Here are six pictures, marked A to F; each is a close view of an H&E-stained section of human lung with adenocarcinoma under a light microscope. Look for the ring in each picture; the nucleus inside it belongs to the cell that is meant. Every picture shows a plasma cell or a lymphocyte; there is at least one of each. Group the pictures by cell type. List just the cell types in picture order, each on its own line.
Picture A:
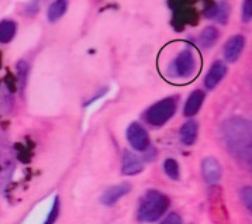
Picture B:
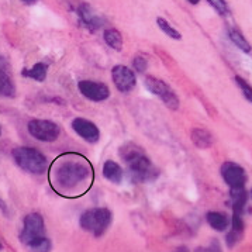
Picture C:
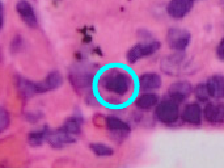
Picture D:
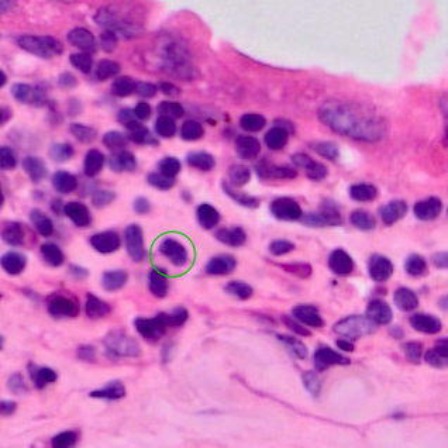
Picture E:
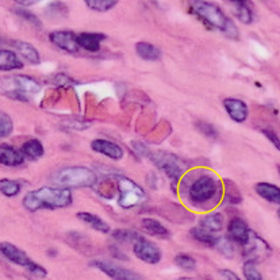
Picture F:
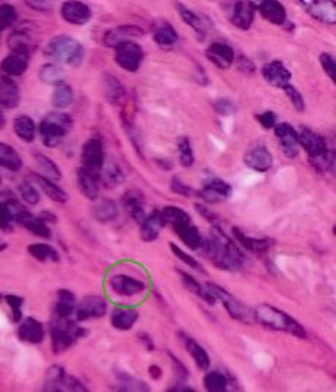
lymphocyte
plasma cell
lymphocyte
lymphocyte
plasma cell
lymphocyte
